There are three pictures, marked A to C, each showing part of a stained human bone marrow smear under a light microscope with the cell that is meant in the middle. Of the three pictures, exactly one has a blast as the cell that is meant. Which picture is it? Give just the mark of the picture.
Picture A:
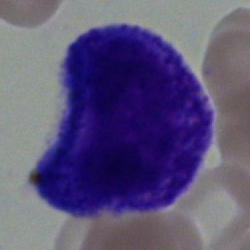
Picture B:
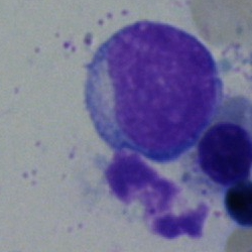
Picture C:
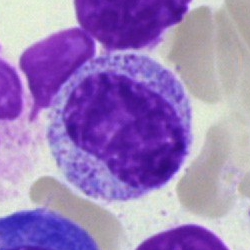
B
